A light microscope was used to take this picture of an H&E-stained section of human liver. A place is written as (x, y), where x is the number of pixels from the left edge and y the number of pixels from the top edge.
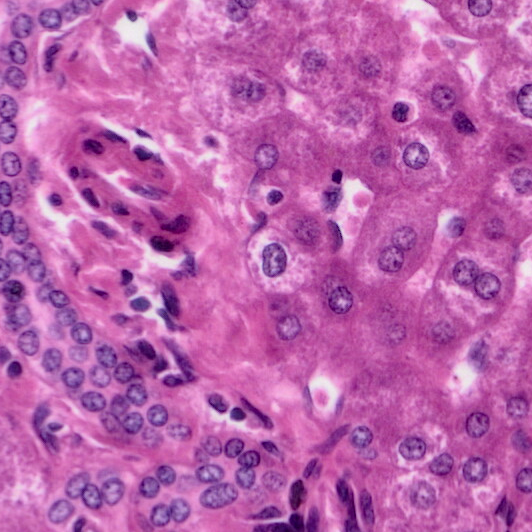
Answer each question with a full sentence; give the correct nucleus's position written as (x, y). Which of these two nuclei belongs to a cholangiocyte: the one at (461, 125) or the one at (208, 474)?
Of the two nuclei, the nucleus belonging to a cholangiocyte is located at (208, 474).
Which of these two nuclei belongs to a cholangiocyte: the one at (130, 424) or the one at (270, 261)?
Of the two nuclei, the nucleus of a cholangiocyte is at (130, 424).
